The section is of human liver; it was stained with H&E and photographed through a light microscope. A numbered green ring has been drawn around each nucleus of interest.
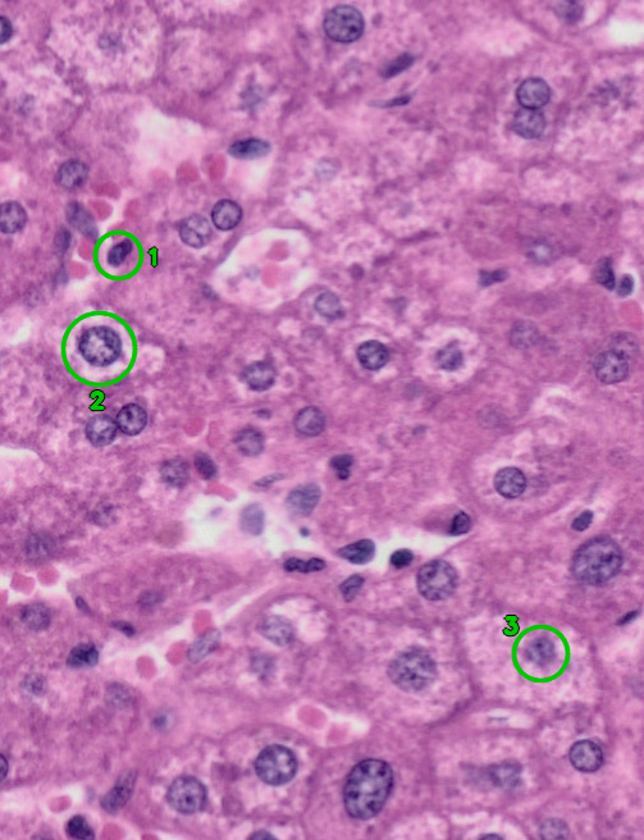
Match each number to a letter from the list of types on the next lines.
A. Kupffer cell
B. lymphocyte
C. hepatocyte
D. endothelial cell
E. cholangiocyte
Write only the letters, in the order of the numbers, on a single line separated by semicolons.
B; C; C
